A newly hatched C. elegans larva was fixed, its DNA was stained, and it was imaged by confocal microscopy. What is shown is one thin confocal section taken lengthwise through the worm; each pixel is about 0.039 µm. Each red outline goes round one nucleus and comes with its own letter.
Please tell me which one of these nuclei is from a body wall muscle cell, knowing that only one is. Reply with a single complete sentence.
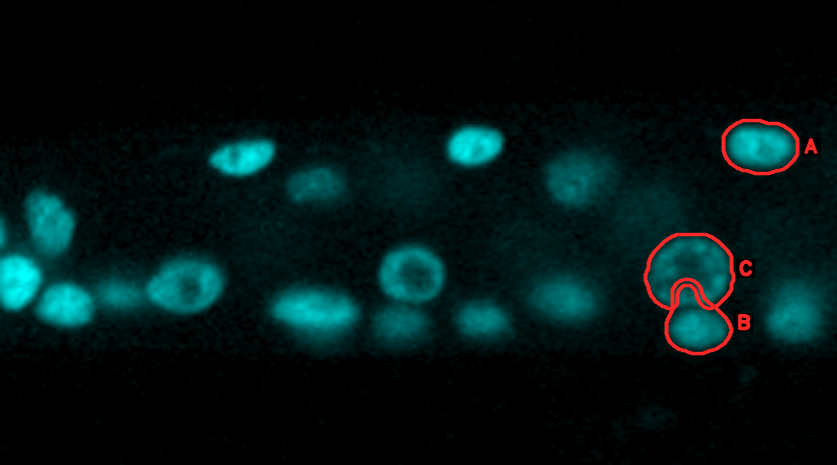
Of the marked nuclei, A is the one in a body wall muscle cell.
